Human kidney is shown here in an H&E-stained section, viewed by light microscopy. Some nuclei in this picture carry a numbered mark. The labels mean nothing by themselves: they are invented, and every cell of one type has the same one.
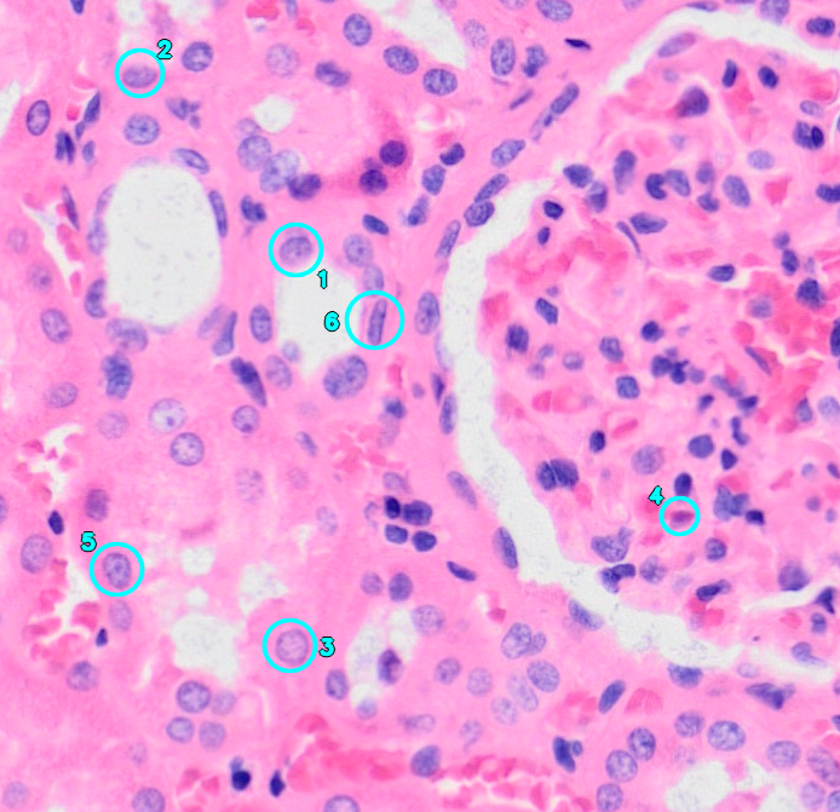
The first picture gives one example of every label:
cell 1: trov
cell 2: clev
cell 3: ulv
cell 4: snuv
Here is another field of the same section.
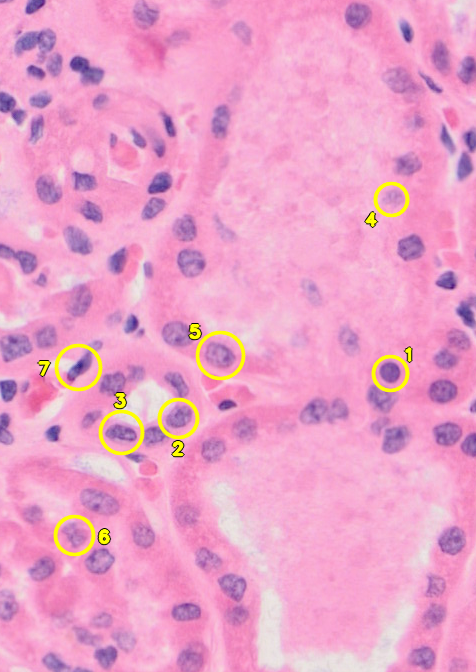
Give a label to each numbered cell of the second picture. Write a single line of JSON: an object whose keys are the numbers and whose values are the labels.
{"1": "ulv", "2": "trov", "3": "trov", "4": "ulv", "5": "ulv", "6": "ulv", "7": "snuv"}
